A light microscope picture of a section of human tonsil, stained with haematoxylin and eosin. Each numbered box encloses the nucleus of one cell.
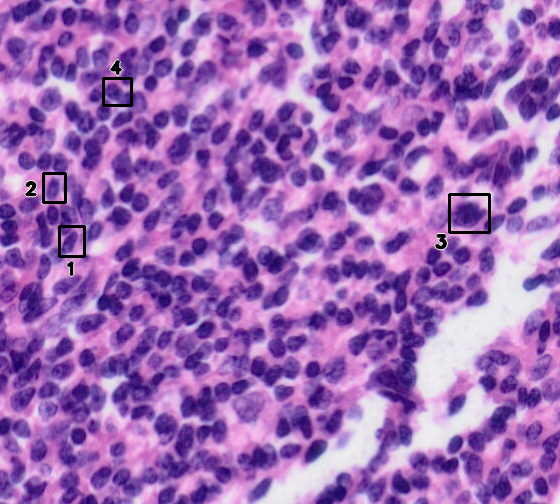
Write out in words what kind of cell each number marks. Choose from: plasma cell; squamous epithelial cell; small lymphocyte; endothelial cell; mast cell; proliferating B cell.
Cells 1, 2 and 4 are small lymphocytes. Cell 3 is a proliferating B cell.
